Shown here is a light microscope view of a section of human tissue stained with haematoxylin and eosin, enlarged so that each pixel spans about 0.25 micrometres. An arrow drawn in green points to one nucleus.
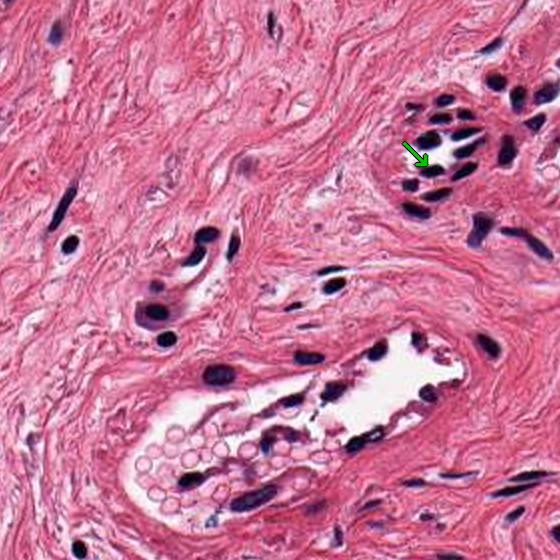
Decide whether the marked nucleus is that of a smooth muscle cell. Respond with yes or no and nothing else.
no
